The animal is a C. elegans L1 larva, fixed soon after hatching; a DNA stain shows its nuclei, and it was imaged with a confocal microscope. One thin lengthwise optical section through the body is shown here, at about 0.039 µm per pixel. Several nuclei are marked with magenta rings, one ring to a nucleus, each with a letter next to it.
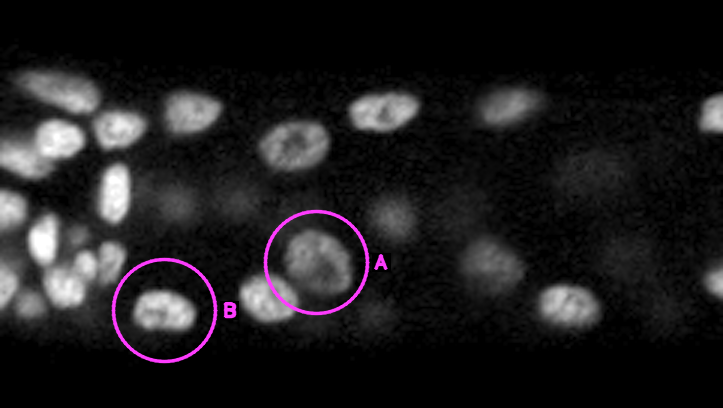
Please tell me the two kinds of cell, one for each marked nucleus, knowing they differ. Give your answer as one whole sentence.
The nucleus A is that of an intestinal cell, while B is that of a body wall muscle cell.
